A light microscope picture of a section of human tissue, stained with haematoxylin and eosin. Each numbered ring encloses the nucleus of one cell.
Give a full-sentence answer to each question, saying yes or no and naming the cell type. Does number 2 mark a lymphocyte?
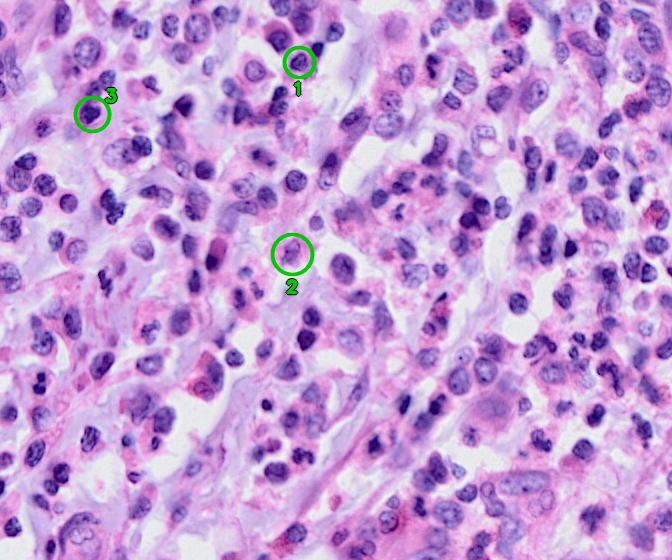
No, it is a macrophage or monocyte, rather than a lymphocyte, that carries number 2.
